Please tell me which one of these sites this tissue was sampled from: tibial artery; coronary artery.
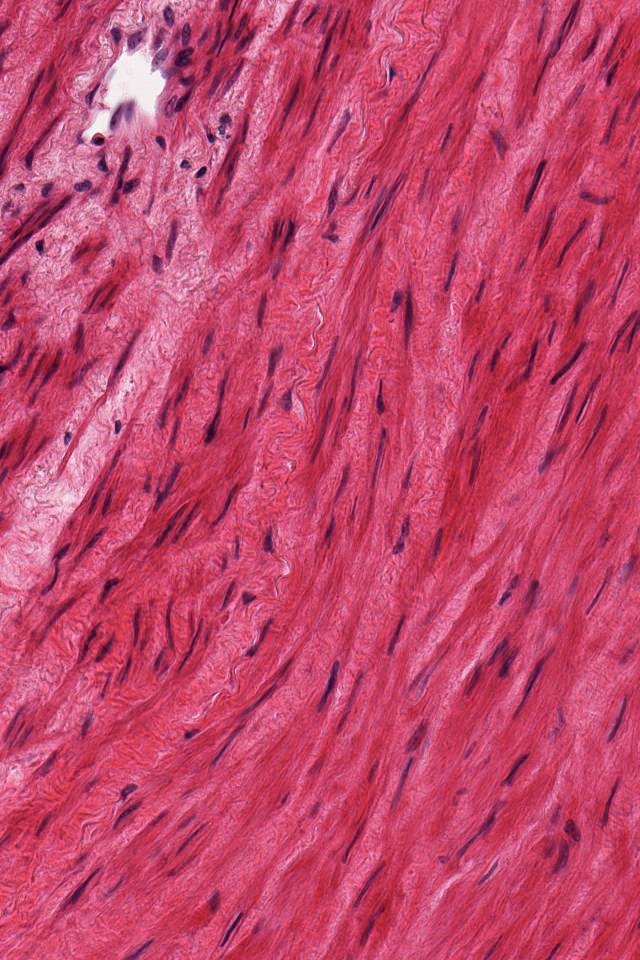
tibial artery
